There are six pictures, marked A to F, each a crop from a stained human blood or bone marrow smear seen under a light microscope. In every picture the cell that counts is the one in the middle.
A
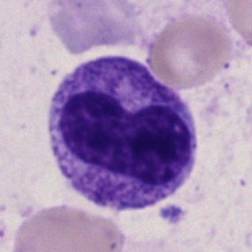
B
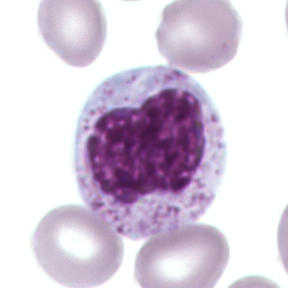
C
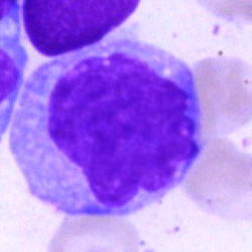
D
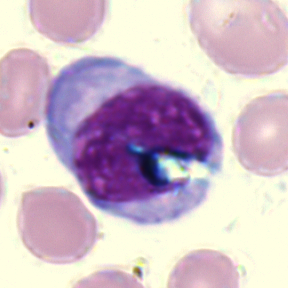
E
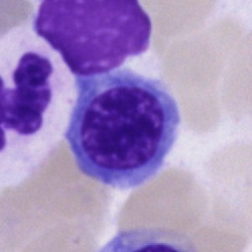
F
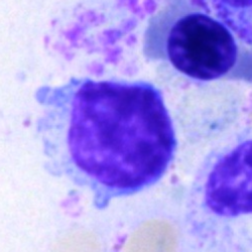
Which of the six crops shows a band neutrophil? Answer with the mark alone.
A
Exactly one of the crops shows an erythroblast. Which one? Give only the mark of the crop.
E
